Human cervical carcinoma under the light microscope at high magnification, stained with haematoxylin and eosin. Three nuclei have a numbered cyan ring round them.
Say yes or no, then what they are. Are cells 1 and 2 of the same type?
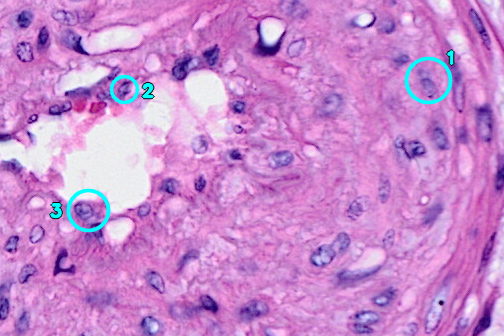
No, cell 1 is a smooth muscle cell and cell 2 is an endothelial cell.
